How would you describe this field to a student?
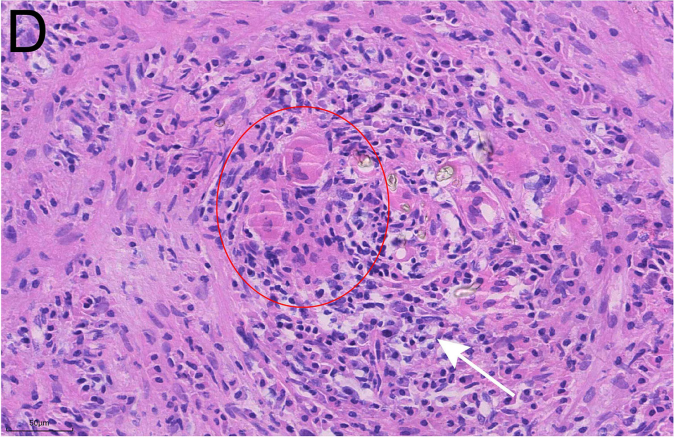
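This is a granulomatous focus in which large cells with abundant pink cytoplasm sit at the centre. They are surrounded by a dense crowd of small cells with round, dark blue nuclei and scant cytoplasm, like lymphocytes. Further out, elongated spindle-shaped cells with oval nuclei run in concentric, whorled layers around the focus. A few clear, refractile fragments lie among the cells.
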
